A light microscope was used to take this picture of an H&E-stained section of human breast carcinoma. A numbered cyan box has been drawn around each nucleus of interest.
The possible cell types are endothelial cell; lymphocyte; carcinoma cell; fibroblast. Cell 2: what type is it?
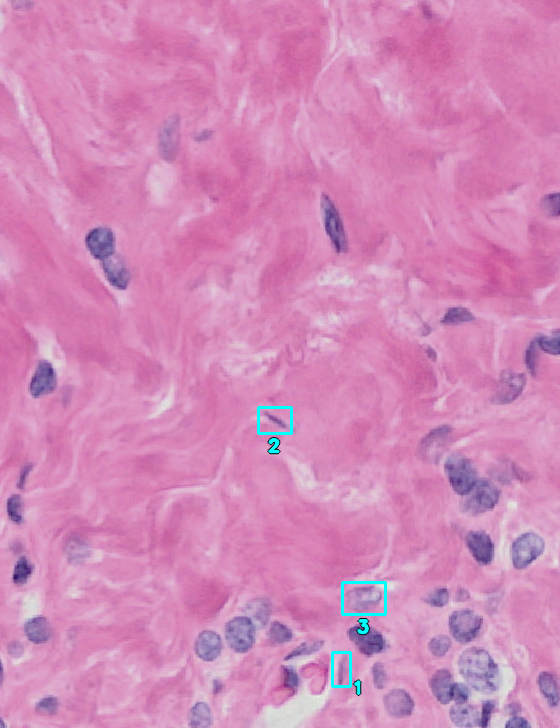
fibroblast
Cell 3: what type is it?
fibroblast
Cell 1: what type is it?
endothelial cell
